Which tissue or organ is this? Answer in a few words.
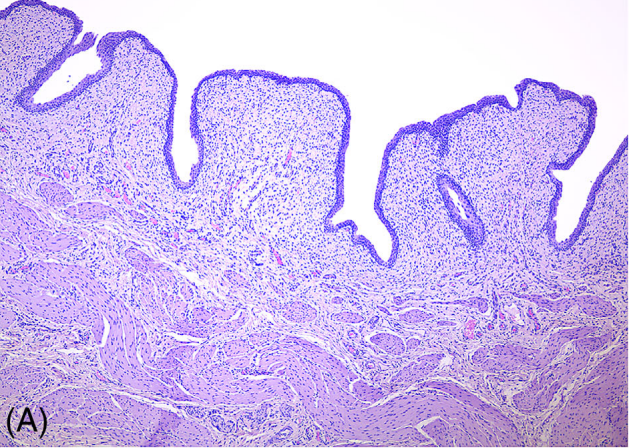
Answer: Bladder mucosa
